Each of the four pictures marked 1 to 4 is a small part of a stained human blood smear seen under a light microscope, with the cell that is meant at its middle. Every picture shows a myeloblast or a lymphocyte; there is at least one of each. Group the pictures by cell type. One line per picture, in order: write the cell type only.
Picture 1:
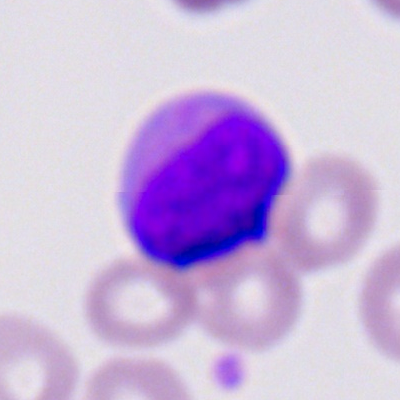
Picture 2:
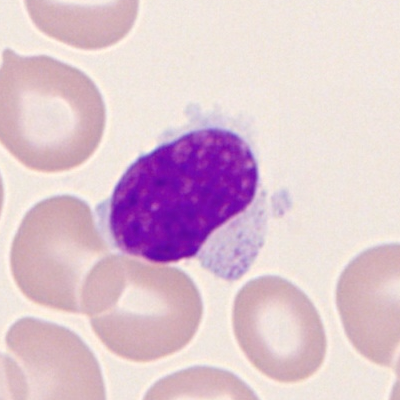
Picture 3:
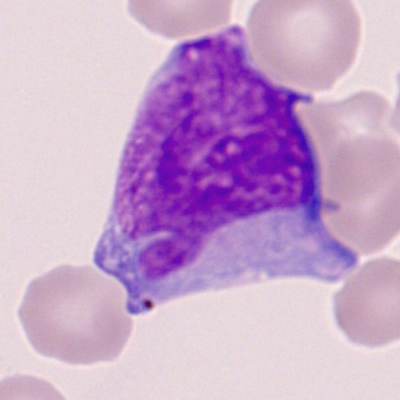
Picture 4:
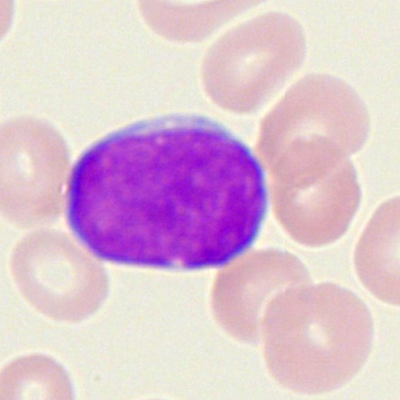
myeloblast
lymphocyte
myeloblast
myeloblast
